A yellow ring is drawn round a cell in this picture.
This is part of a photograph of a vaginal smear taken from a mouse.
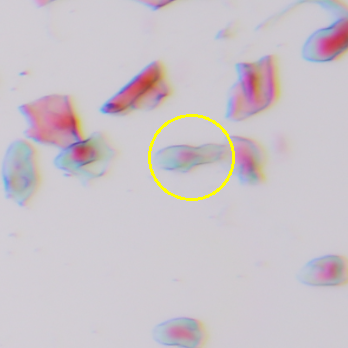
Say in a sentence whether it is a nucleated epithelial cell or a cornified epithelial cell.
The cell in the ring is a nucleated epithelial cell.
